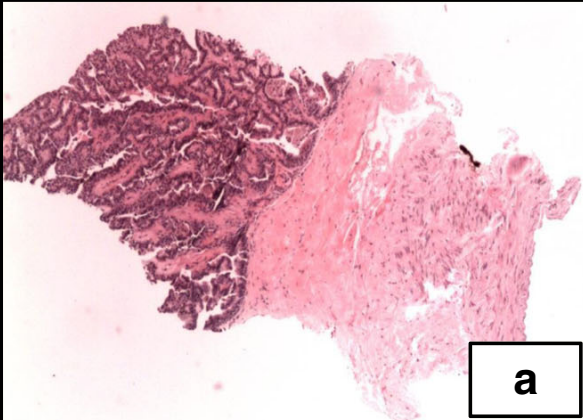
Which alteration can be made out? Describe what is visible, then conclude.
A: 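Papillary neoplasm. The left half is a dense, dark-staining mass of branching epithelial fronds. The right half is pale pink fibrous stroma. The border between the two is sharp.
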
